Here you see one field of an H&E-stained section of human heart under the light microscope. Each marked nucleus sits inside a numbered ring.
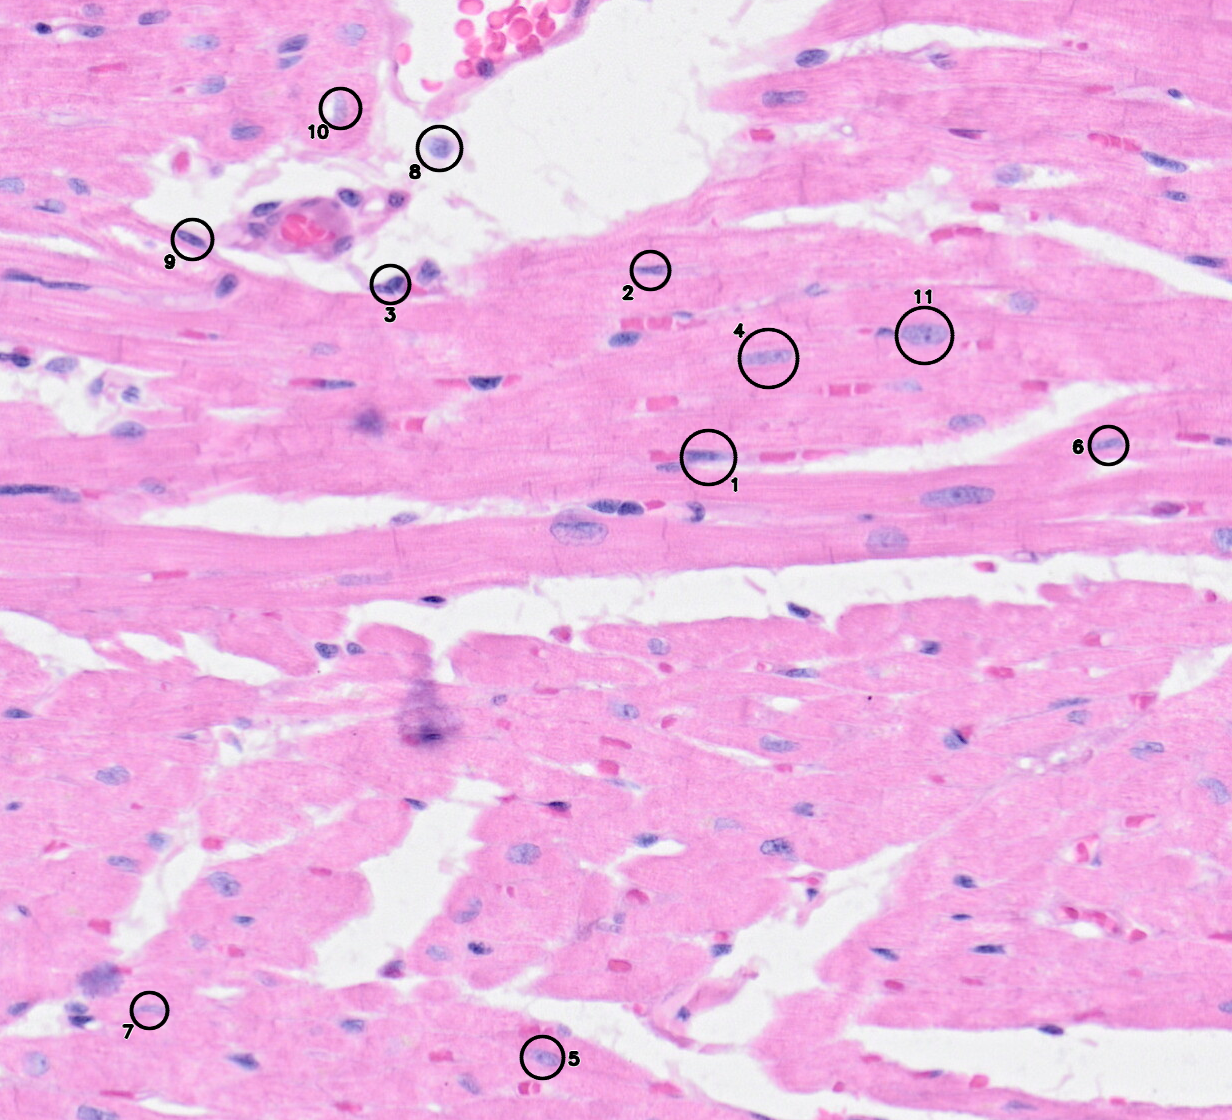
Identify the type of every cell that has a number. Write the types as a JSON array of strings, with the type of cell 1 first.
["endothelial cell", "endothelial cell", "fibroblast", "cardiomyocyte", "cardiomyocyte", "cardiomyocyte", "cardiomyocyte", "fibroblast", "fibroblast", "cardiomyocyte", "cardiomyocyte"]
